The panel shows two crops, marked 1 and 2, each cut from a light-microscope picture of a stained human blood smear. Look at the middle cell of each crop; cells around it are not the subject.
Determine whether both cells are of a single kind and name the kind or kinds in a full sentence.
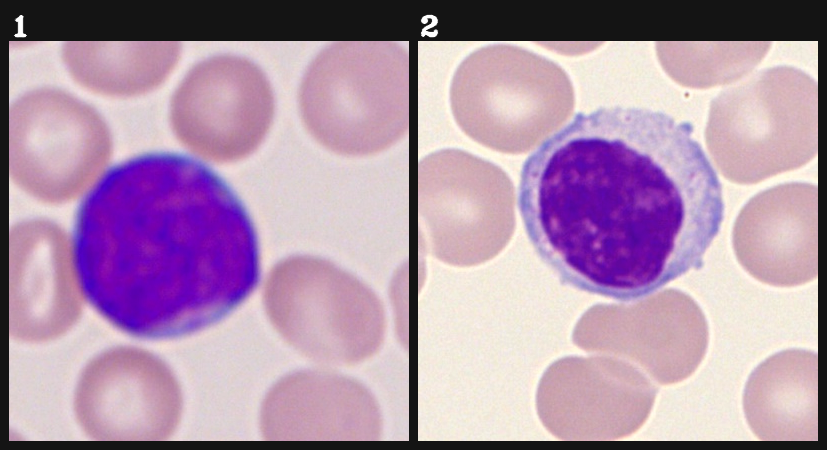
No, crop 1 carries a myeloblast and crop 2 carries a lymphocyte.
